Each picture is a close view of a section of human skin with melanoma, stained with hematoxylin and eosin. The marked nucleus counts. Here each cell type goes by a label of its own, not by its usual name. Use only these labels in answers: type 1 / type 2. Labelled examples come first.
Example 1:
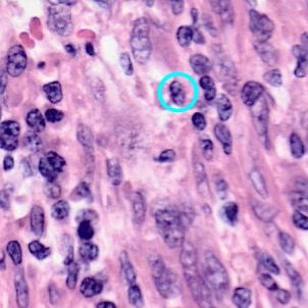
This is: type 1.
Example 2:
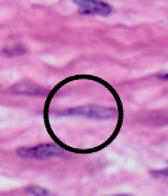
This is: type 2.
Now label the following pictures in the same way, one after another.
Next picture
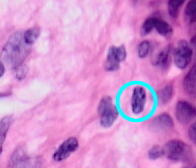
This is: type 1.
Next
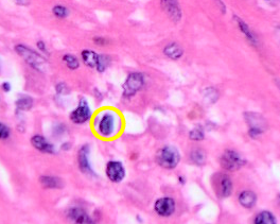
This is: type 1.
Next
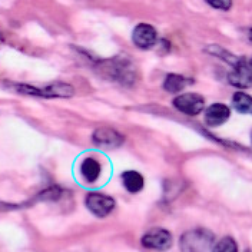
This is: type 1.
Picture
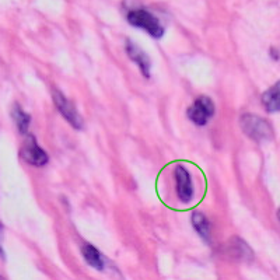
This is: type 1.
